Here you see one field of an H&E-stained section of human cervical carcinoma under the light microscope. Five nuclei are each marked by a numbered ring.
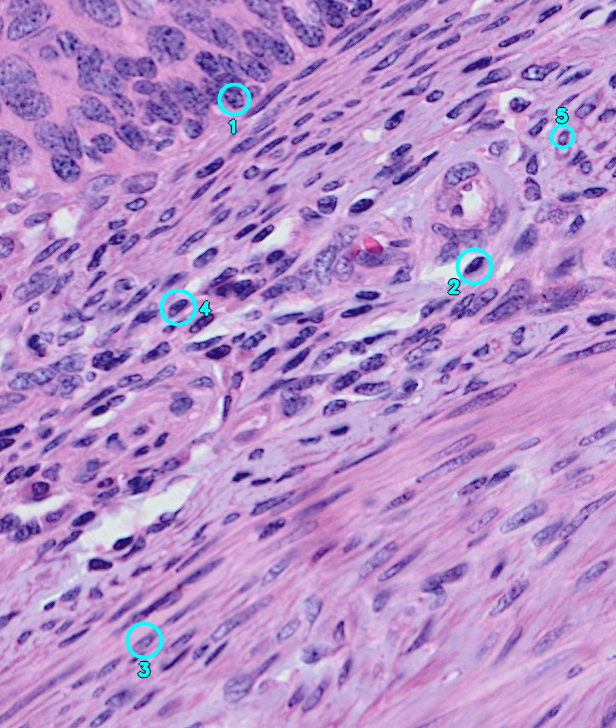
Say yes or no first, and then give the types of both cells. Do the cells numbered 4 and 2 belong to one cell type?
Yes, both are lymphocytes.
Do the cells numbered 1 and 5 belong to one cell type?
No, cell 1 is a squamous carcinoma cell and cell 5 is a smooth muscle cell.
